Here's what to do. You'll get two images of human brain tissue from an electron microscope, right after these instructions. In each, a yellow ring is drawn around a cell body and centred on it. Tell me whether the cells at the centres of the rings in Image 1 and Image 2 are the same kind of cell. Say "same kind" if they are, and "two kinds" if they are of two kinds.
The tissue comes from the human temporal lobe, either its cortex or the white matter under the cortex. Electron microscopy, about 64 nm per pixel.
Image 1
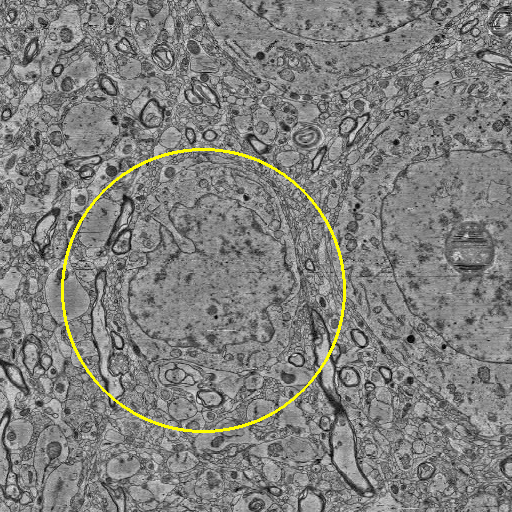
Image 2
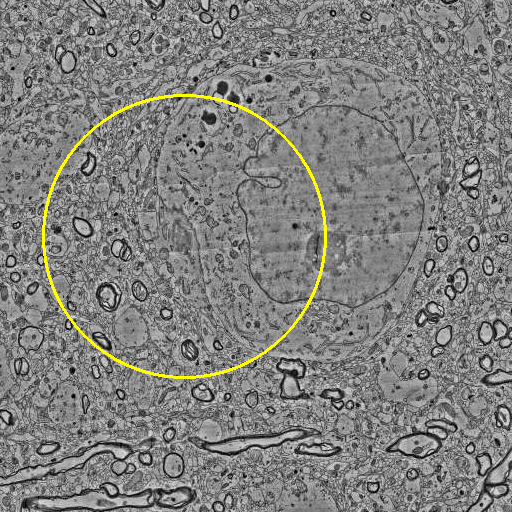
two kinds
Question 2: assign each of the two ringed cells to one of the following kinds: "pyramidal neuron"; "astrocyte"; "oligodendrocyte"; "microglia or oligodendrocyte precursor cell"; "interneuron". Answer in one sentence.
The two cells are an interneuron in the first picture and an oligodendrocyte in the second.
